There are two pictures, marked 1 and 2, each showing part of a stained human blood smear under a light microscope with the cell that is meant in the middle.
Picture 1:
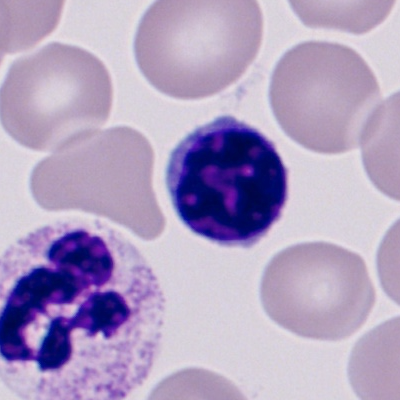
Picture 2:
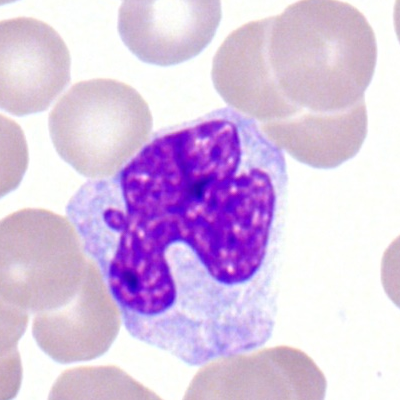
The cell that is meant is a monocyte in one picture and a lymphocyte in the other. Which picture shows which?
1: lymphocyte
2: monocyte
